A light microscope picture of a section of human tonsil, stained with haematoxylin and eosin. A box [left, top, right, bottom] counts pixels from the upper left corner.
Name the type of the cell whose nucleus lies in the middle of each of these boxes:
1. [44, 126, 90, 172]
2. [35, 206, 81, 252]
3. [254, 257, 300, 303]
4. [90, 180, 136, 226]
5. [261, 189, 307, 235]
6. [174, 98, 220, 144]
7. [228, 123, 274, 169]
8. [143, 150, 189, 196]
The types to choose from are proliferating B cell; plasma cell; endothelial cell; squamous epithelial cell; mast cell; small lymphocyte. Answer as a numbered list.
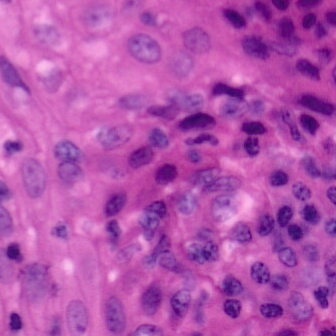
1. squamous epithelial cell
2. squamous epithelial cell
3. plasma cell
4. squamous epithelial cell
5. plasma cell
6. squamous epithelial cell
7. plasma cell
8. squamous epithelial cell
